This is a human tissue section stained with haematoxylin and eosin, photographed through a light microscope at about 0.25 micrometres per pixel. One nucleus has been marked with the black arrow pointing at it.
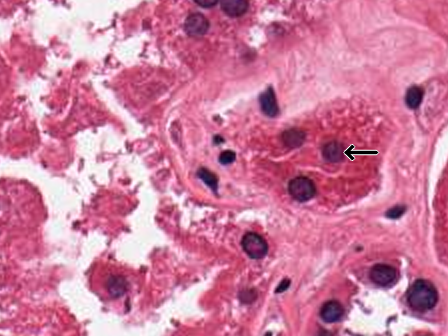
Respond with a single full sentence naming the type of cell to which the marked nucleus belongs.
The marked nucleus is a nucleus of a proximal tubule cell.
